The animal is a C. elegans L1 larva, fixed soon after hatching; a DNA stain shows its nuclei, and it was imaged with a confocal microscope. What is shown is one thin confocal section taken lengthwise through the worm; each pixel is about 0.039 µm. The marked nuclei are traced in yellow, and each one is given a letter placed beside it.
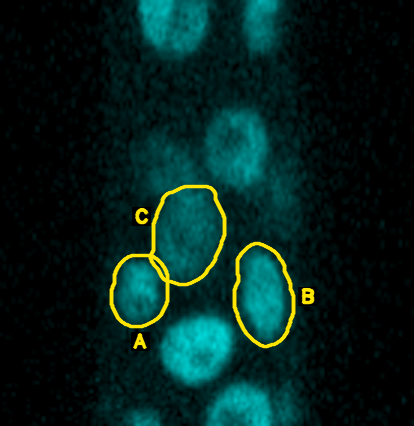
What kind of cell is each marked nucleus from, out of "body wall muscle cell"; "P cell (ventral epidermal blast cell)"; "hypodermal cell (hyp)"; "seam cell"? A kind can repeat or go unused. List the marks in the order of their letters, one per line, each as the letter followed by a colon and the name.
A: body wall muscle cell
B: P cell (ventral epidermal blast cell)
C: hypodermal cell (hyp)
